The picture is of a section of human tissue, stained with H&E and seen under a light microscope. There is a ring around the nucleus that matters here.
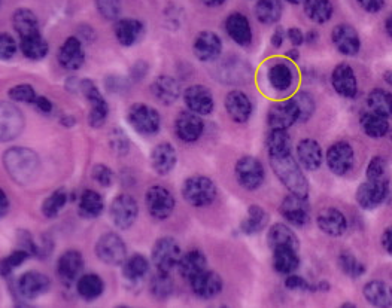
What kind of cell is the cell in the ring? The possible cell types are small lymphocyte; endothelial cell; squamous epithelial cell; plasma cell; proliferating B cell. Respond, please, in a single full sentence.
The identity of the cell in the ring: it is a plasma cell.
